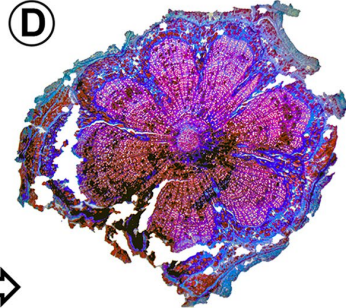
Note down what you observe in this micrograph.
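A whole stem cross-section shows a central pith surrounded by wood stained red, with many open vessels, cut into rounded lobes. Between the lobes, bands of blue-stained tissue push inward from the ragged outer bark toward the centre. These inward bands are phloem wedges dividing the wood of the stem.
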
